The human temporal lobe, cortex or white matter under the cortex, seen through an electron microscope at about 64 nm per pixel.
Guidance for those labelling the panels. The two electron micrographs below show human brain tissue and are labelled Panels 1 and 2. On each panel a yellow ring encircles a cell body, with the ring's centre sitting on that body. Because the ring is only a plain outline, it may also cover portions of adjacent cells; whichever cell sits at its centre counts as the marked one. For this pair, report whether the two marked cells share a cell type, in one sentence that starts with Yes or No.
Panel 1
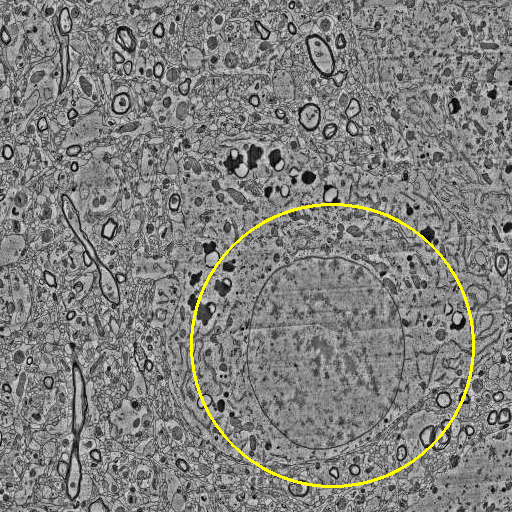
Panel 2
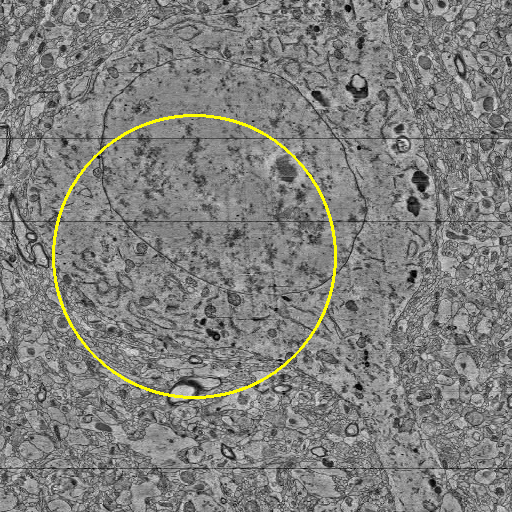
Yes, in Panel 1 and Panel 2 the marked cells at the ring centres share one type.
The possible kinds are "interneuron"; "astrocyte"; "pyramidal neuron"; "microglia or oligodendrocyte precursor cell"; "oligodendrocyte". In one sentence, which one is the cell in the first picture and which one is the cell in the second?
The ring centre holds a pyramidal neuron in each of the two pictures.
